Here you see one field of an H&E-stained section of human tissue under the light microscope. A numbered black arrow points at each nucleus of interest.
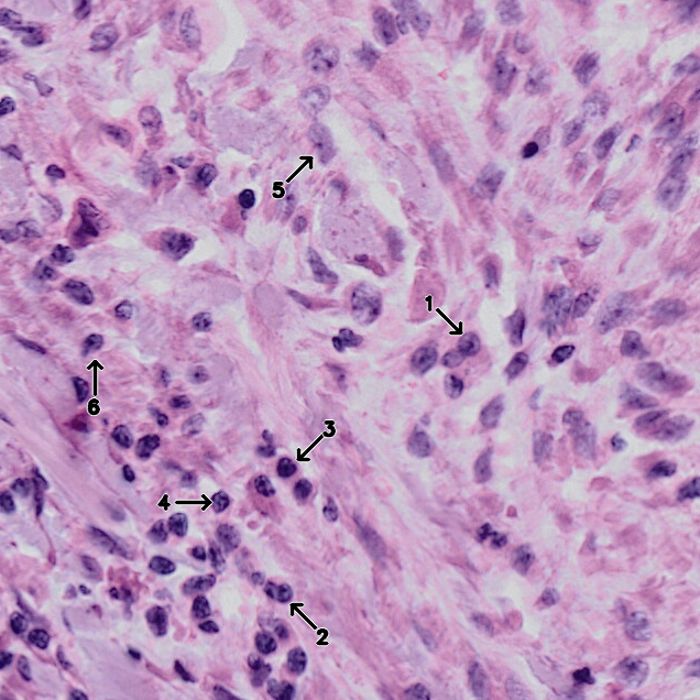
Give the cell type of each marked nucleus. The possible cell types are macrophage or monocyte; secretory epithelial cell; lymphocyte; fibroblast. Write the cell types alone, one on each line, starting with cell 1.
macrophage or monocyte
lymphocyte
lymphocyte
lymphocyte
fibroblast
lymphocyte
